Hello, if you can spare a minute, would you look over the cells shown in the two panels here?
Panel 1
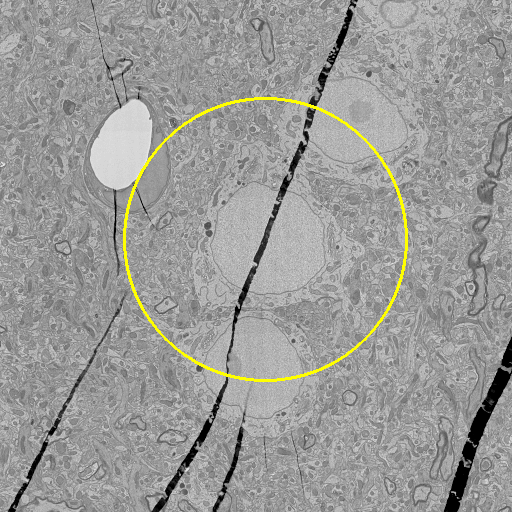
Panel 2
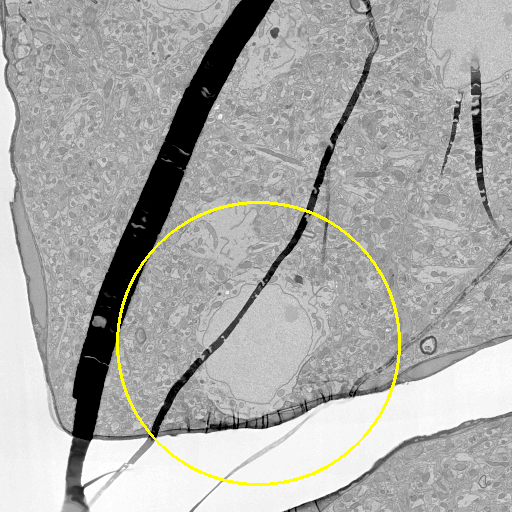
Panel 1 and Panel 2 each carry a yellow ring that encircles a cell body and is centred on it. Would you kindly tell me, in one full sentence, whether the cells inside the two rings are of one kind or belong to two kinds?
The cells at the centres of the rings in Panel 1 and Panel 2 are of one kind.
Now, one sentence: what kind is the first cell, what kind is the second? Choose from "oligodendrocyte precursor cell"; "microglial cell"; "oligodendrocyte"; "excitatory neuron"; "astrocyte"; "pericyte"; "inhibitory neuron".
Both cells are the same kind, each one being an excitatory neuron.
